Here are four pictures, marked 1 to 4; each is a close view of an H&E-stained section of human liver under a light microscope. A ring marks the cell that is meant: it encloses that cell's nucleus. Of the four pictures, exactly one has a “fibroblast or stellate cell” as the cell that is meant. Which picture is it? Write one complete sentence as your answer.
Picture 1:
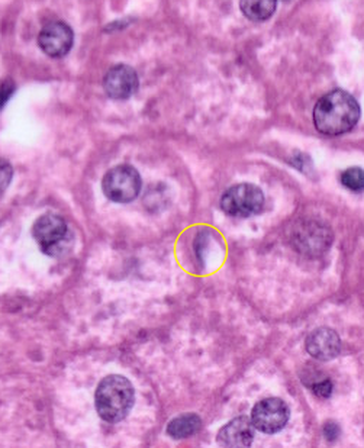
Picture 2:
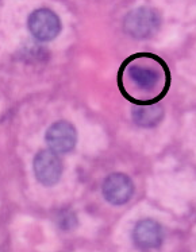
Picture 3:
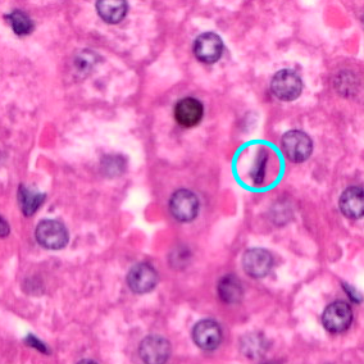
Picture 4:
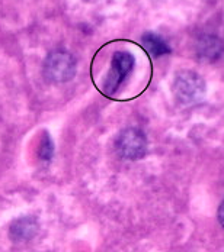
The picture with the “fibroblast or stellate cell” is 2.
